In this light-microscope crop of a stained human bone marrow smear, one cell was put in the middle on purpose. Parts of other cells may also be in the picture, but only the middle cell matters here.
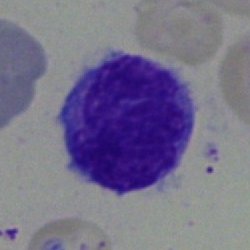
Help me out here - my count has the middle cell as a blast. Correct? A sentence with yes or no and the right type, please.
No, the cell sitting in the middle is a monocyte, and it is not a blast.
